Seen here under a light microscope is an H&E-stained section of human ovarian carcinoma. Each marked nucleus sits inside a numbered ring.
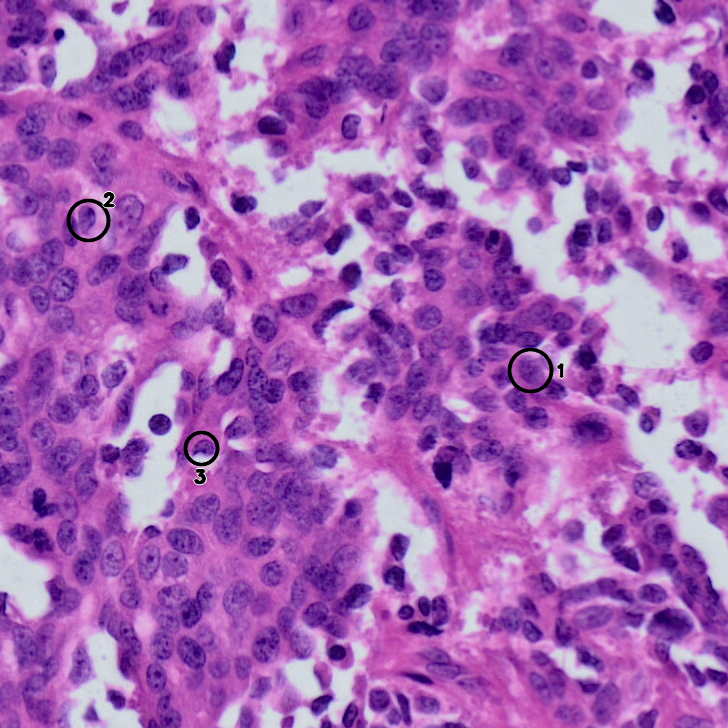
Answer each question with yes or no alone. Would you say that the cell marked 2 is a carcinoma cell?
no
